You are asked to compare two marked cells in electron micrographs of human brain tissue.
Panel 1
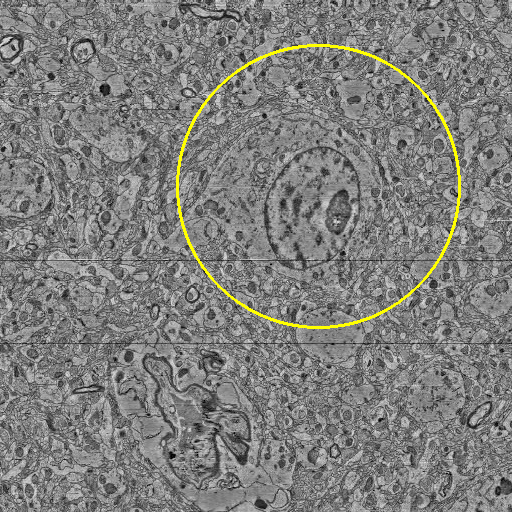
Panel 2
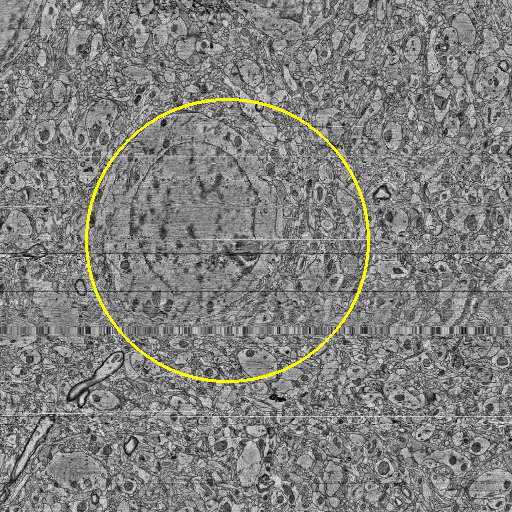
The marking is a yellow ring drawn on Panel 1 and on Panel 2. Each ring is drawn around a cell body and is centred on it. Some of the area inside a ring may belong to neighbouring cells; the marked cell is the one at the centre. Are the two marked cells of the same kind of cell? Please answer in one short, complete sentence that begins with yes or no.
Yes, the two marked cells are of the same kind.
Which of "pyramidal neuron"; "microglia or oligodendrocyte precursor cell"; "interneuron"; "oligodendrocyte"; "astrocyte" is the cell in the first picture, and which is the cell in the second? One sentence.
Each of the two cells is a pyramidal neuron.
